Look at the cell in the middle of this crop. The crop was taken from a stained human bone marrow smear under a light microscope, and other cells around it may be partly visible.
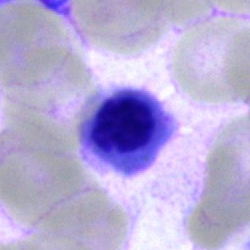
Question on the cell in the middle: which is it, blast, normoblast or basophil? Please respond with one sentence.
The centrally positioned cell in the crop represents a normoblast.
